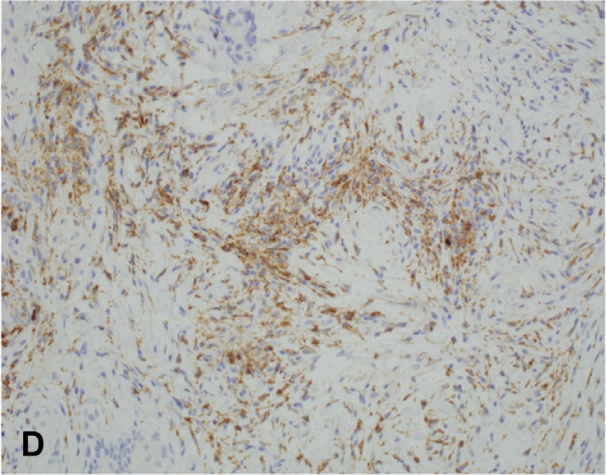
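The brown stain is granular and lies in the cytoplasm of ovoid and elongated cells, which crowd together in irregular aggregates in the middle of the field. Around them are cells with blue nuclei and no brown staining, set in a pale, loose stroma.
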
